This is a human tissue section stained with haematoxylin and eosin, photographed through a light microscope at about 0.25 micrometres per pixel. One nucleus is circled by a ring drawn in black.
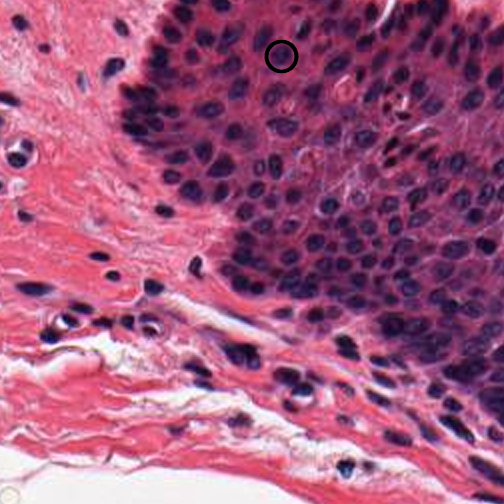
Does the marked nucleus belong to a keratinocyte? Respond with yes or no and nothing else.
yes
